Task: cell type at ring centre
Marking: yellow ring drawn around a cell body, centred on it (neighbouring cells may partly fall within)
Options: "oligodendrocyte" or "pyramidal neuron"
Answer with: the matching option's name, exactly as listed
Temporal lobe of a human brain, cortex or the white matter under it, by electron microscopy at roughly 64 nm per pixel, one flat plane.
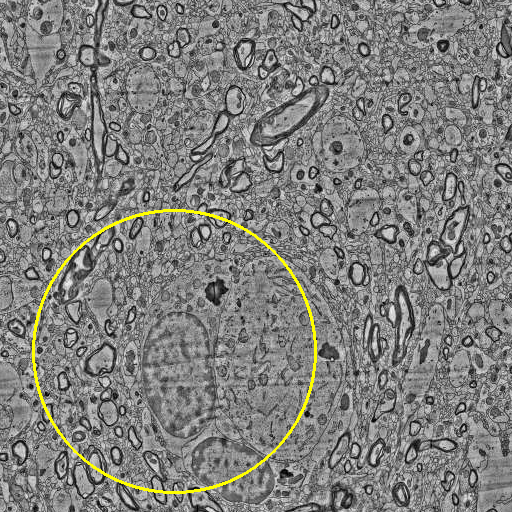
oligodendrocyte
